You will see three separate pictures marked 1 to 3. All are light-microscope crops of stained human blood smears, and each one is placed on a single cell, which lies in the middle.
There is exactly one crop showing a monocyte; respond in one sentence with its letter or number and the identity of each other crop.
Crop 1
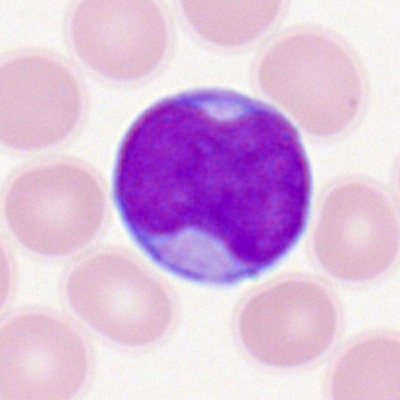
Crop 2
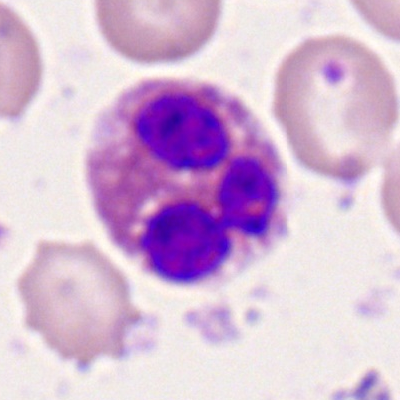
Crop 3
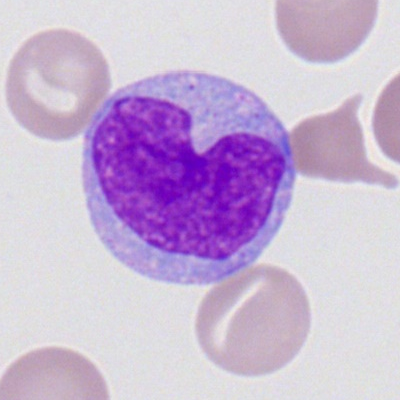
Summary: crop 3 shows a monocyte, while crop 1 is a myeloblast and crop 2 is an eosinophil.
